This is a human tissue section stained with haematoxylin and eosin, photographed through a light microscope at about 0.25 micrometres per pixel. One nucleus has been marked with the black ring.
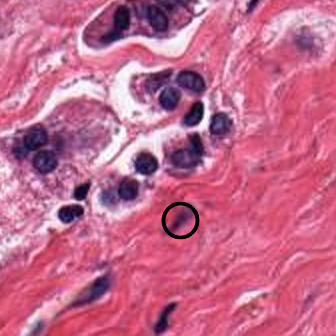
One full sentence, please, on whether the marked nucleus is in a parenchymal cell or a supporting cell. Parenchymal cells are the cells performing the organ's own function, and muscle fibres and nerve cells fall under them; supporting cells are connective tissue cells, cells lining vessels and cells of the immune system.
The marked nucleus is part of a supporting cell.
